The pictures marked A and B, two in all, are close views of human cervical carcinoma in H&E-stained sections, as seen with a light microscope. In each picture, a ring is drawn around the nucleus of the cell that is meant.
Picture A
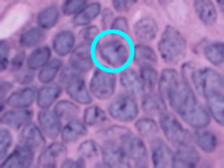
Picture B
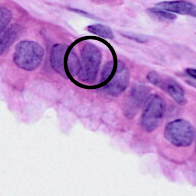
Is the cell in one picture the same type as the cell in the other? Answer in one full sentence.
Yes; the cells in both pictures are secretory epithelial cells.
